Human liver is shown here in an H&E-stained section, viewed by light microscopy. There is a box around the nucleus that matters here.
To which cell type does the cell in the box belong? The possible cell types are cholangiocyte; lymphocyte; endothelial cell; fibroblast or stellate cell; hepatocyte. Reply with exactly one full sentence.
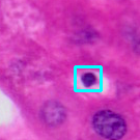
It is as a lymphocyte that the cell in the box is recorded.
